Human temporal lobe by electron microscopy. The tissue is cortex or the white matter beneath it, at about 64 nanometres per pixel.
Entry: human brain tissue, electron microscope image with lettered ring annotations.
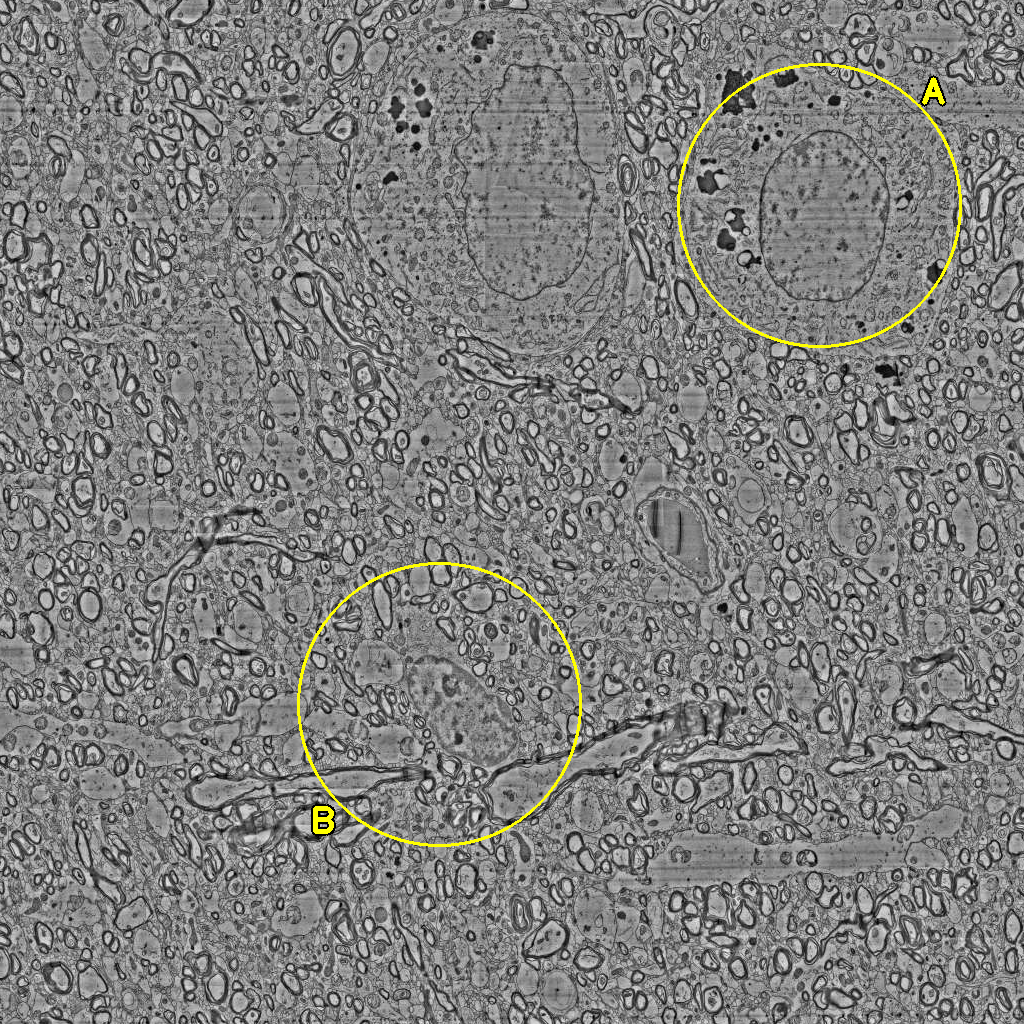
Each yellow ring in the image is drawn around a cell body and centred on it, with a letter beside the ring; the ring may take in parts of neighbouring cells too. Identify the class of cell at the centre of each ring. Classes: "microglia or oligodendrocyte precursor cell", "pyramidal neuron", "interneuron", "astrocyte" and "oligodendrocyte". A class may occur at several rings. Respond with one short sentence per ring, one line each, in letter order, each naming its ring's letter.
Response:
Ring A holds a pyramidal neuron at its centre.
Ring B holds an oligodendrocyte at its centre.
